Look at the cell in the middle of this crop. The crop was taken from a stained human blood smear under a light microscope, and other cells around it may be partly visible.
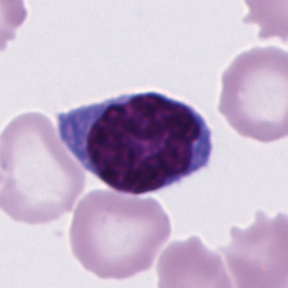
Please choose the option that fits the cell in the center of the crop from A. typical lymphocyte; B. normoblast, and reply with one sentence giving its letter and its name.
In this crop the central cell is a typical lymphocyte, which option A correctly states.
